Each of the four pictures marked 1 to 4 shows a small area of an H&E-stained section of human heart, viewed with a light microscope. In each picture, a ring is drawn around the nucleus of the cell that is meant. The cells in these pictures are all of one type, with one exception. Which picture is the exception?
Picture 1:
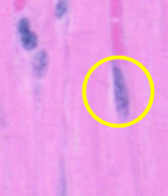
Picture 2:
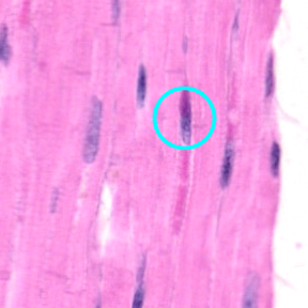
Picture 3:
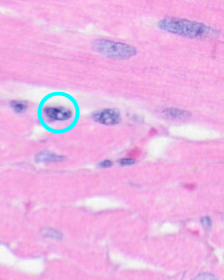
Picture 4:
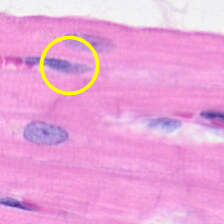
3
